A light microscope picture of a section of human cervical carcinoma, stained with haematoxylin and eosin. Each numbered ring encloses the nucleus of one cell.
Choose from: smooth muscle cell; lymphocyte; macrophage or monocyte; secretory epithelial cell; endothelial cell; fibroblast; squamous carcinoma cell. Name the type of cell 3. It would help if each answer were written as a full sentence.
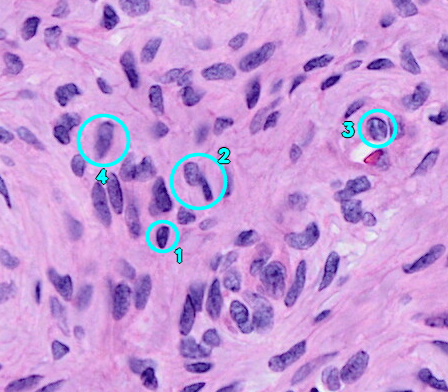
The cell that bears the number 3 is an endothelial cell.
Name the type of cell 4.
At number 4, the marked cell is a fibroblast.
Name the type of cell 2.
Identified as a fibroblast is the cell bearing the number 2.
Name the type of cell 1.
The cell numbered 1 represents a fibroblast.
